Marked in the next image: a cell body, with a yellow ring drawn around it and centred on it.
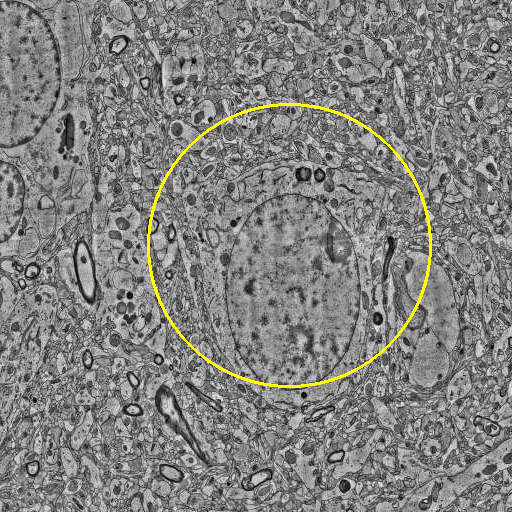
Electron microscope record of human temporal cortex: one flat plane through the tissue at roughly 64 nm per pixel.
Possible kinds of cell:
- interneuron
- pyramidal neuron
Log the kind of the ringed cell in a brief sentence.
The ringed cell body is that of a pyramidal neuron.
